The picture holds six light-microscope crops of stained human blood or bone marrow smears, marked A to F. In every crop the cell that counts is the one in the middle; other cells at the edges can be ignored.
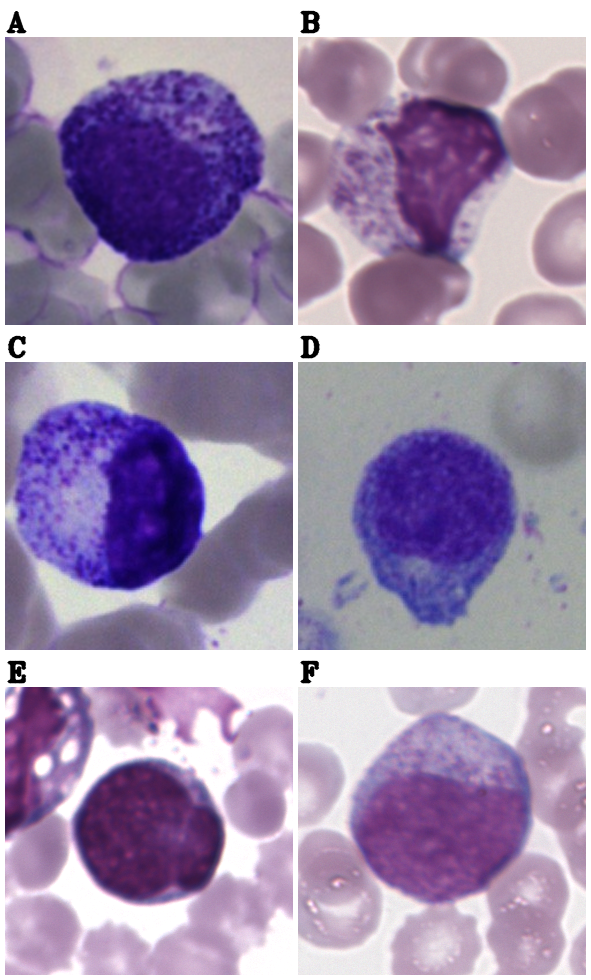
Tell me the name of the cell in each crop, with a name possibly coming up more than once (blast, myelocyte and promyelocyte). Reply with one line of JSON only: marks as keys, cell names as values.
{"A": "promyelocyte", "B": "myelocyte", "C": "promyelocyte", "D": "promyelocyte", "E": "blast", "F": "promyelocyte"}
